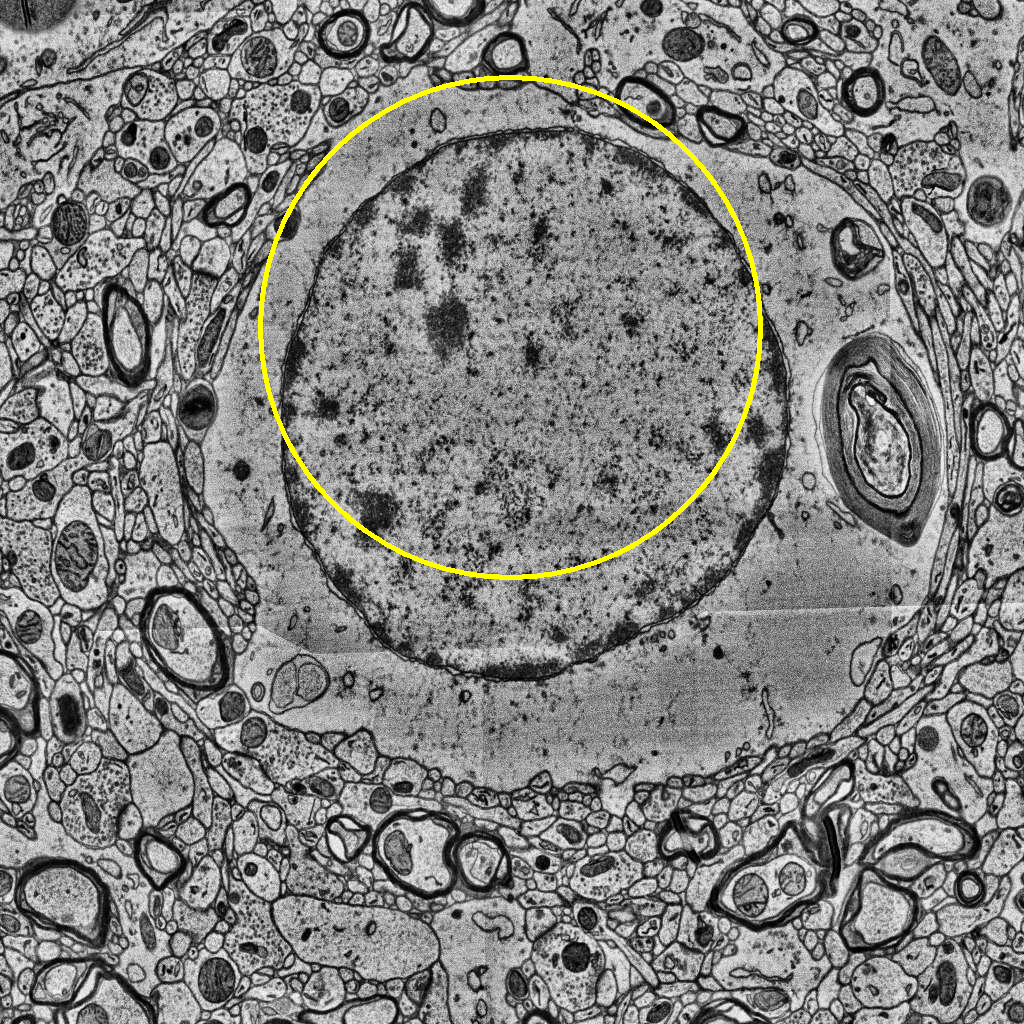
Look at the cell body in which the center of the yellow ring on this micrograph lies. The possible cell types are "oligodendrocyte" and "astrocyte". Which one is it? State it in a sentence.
The cell at the middle of the ring is an astrocyte.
